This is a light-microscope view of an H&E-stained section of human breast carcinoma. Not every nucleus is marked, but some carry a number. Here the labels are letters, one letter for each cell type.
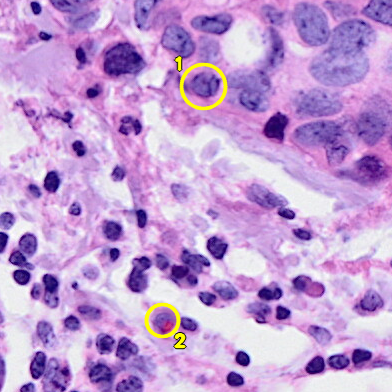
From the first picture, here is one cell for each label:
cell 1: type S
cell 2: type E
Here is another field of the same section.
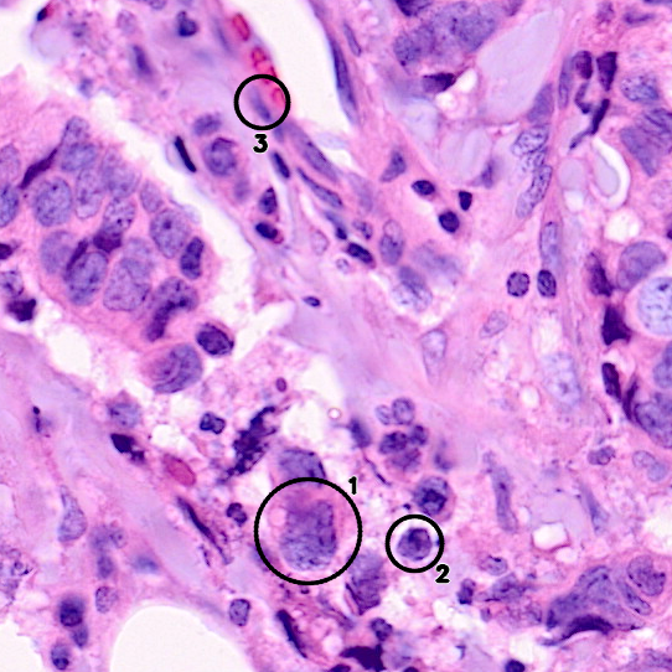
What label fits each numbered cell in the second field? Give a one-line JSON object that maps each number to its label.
{"1": "type S", "2": "type S", "3": "type E"}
